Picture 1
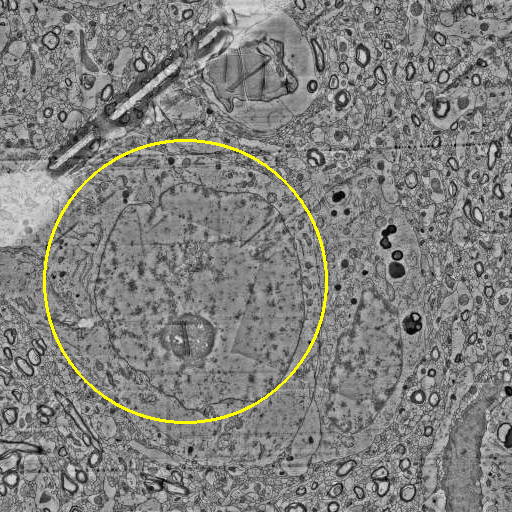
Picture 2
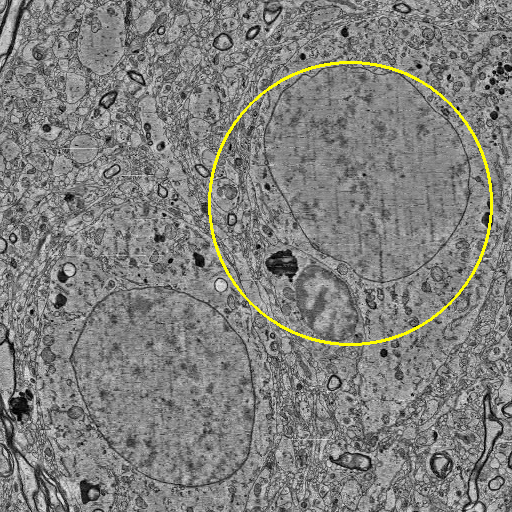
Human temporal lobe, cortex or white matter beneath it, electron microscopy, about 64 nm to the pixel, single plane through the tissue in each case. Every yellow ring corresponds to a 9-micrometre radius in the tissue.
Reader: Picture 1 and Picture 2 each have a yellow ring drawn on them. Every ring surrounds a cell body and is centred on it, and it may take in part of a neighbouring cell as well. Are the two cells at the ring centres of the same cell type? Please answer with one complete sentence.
Yes, both cells are of the same cell type.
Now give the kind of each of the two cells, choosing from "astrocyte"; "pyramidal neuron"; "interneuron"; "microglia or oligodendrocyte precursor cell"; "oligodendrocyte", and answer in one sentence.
Both pictures show a pyramidal neuron at the centre of the ring.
